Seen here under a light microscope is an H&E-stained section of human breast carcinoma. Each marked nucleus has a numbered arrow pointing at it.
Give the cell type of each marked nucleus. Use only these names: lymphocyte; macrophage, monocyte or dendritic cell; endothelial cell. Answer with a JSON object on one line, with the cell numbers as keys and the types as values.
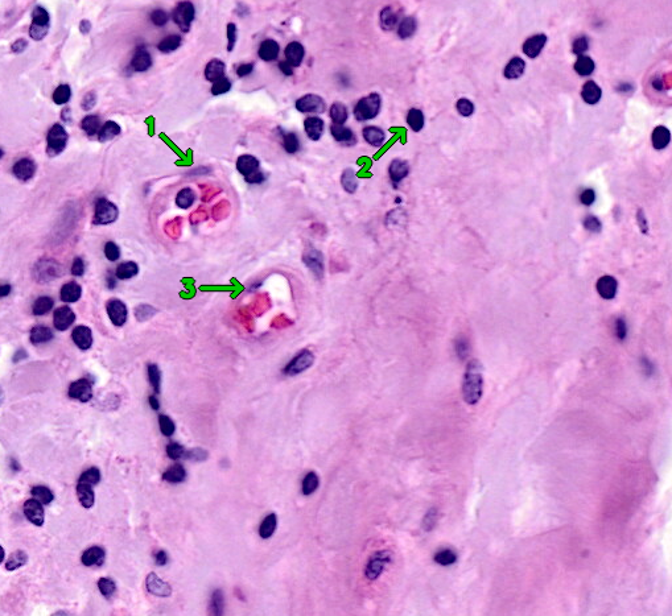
{"1": "endothelial cell", "2": "lymphocyte", "3": "endothelial cell"}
